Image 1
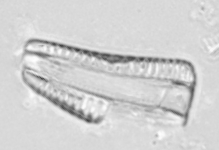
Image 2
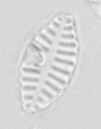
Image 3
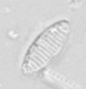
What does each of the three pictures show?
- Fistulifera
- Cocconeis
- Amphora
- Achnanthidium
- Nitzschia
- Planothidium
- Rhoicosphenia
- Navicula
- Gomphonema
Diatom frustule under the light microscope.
Picture 1: Rhoicosphenia
Picture 2: Planothidium
Picture 3: Nitzschia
